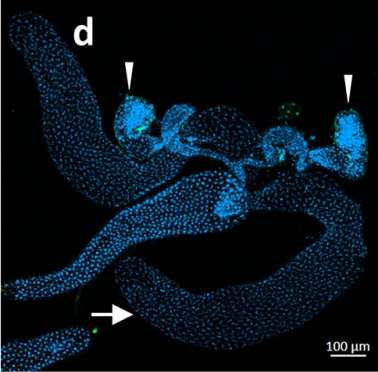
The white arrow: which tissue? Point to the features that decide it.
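Accessory gland. The arrow points at a long, curved tube covered with evenly spaced small blue nuclei.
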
